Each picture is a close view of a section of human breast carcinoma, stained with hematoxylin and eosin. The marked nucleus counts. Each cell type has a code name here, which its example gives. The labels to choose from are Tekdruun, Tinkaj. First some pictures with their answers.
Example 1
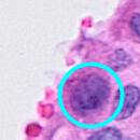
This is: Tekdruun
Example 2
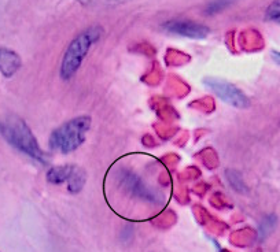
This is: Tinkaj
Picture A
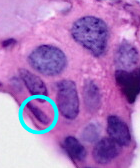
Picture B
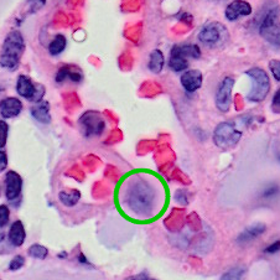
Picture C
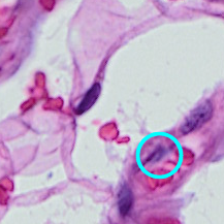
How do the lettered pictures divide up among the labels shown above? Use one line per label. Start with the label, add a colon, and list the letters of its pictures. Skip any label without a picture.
Tekdruun: A
Tinkaj: B, C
